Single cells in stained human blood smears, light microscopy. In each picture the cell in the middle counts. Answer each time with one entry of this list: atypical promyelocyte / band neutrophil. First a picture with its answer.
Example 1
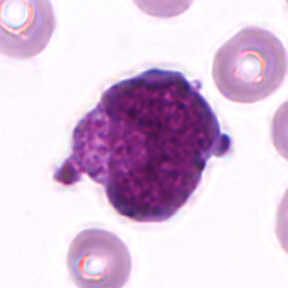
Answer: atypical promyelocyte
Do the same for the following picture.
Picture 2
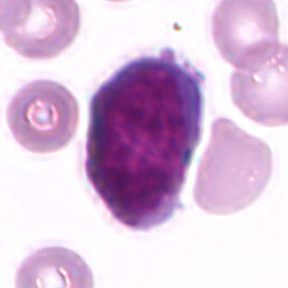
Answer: atypical promyelocyte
